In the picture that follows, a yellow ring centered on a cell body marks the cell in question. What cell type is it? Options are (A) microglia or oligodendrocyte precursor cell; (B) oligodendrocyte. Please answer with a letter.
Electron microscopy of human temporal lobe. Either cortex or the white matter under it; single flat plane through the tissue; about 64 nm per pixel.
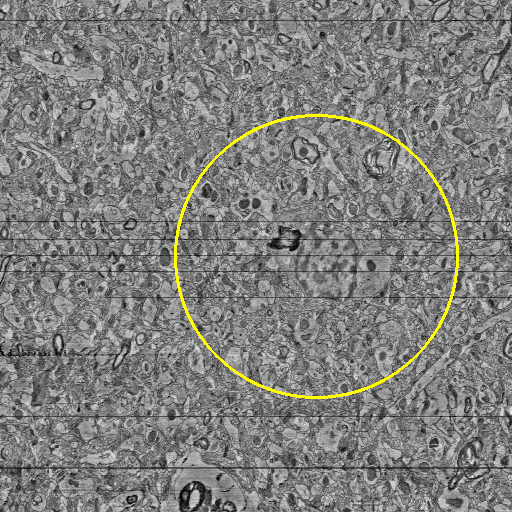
B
